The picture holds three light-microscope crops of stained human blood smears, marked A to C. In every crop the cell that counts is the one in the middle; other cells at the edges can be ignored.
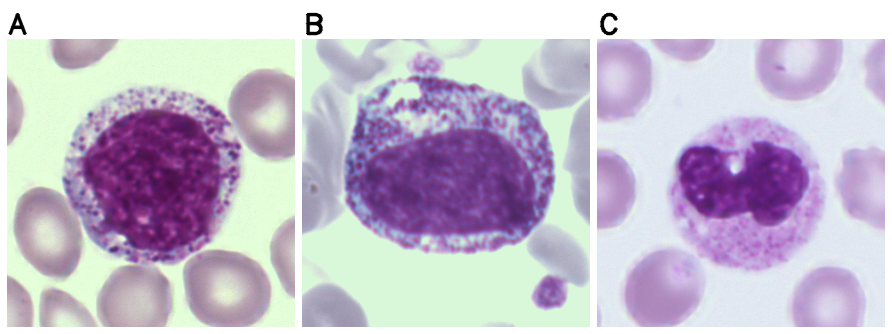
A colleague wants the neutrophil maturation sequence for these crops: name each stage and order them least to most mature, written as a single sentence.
From the least mature to the most mature, the sequence runs crop B (a promyelocyte), crop A (a myelocyte) and crop C (a band neutrophil).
